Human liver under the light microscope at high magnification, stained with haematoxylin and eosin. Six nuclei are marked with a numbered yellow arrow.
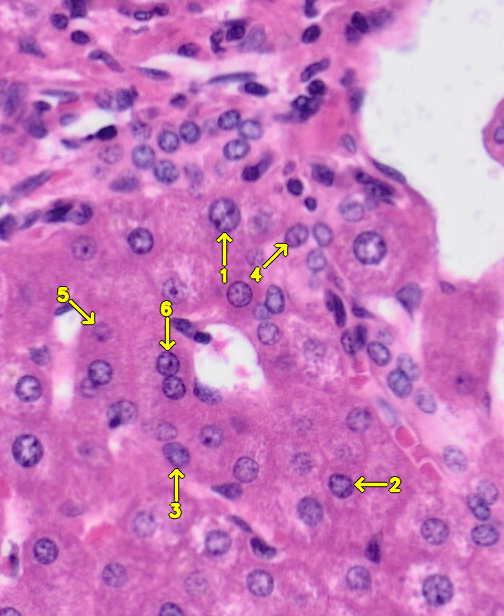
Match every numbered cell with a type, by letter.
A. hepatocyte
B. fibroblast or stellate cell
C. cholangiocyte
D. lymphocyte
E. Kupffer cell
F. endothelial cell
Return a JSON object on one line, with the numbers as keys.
{"1": "A", "2": "A", "3": "C", "4": "C", "5": "A", "6": "A"}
